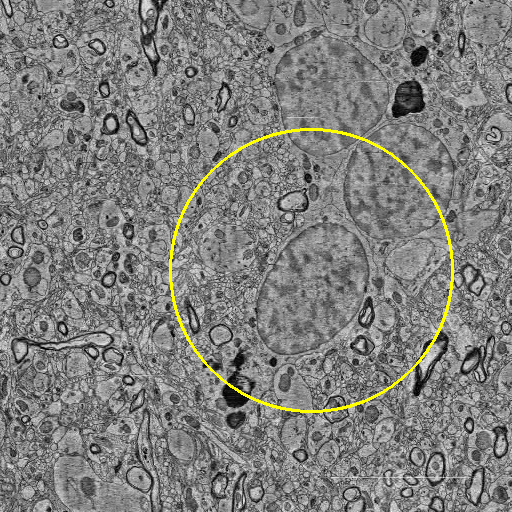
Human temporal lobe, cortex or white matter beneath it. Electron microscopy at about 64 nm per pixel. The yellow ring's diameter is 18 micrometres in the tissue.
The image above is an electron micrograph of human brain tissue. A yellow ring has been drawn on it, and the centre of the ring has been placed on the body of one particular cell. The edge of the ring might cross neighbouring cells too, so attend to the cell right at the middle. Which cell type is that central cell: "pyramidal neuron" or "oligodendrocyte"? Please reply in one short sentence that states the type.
The central cell in the ring is an oligodendrocyte.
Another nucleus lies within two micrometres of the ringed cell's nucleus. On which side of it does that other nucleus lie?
The other nucleus can be seen to the upper right of it.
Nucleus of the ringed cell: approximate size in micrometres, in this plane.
In this plane, the nucleus of the cell at the centre of the ring measures about 9 by 7 micrometres.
